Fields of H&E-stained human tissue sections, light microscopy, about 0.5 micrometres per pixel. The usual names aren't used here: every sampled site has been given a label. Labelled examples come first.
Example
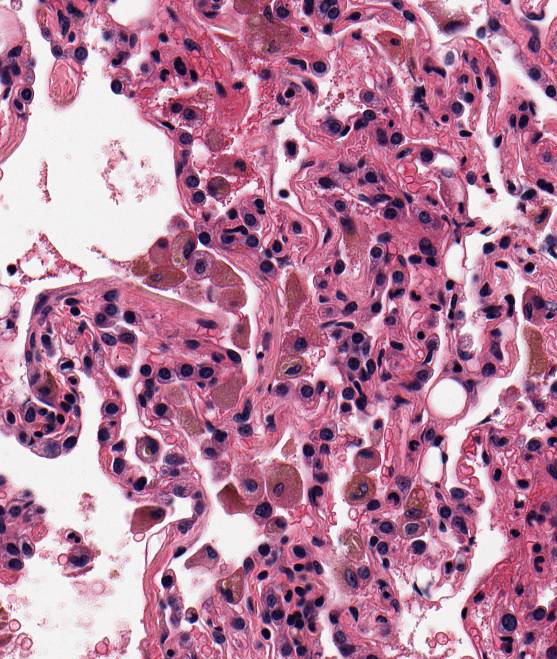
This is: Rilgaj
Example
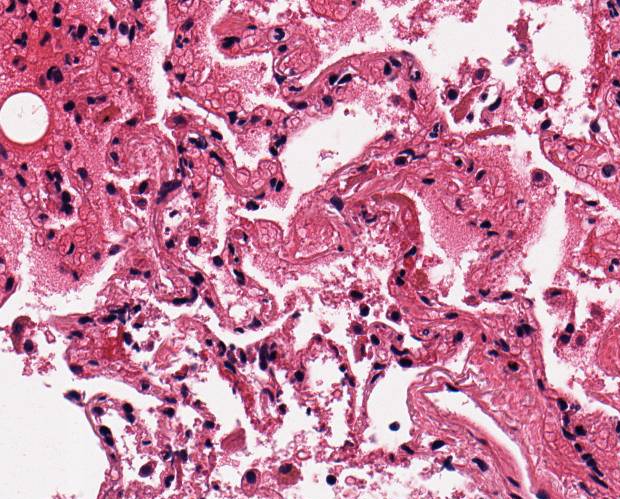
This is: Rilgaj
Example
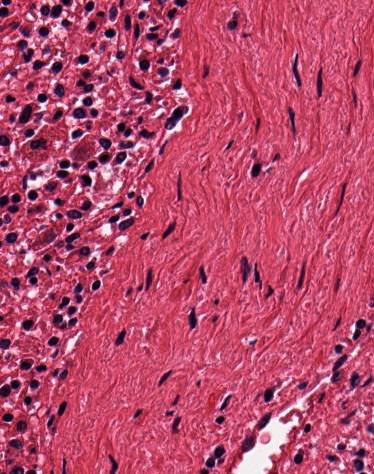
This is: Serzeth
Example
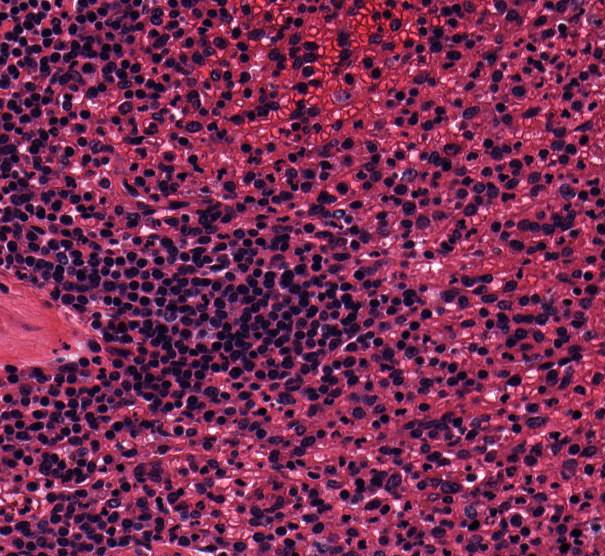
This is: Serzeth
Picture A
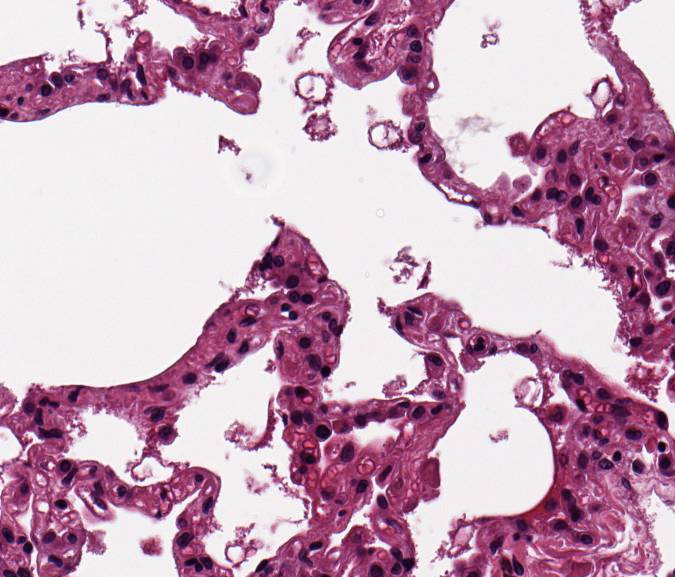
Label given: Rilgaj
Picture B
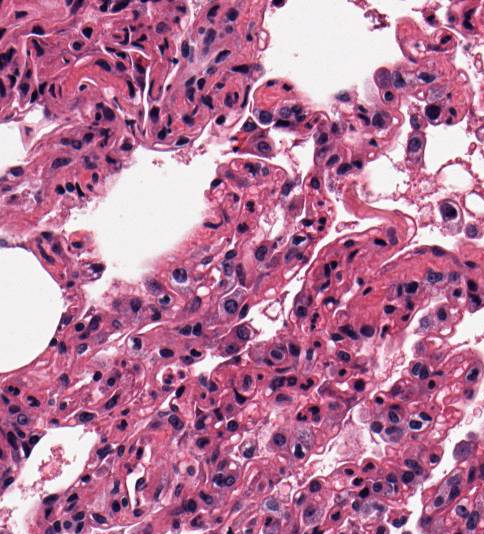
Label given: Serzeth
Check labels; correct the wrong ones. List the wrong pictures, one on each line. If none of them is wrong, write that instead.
B: Rilgaj, not Serzeth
